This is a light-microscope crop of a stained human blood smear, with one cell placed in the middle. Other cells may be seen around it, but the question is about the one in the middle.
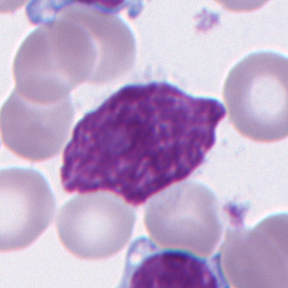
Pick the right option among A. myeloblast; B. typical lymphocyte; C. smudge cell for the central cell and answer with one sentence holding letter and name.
The cell at the centre, correctly named in option C, is a smudge cell.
